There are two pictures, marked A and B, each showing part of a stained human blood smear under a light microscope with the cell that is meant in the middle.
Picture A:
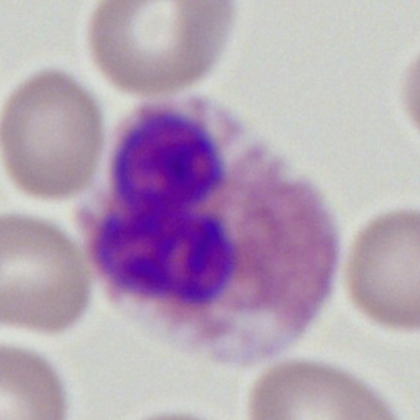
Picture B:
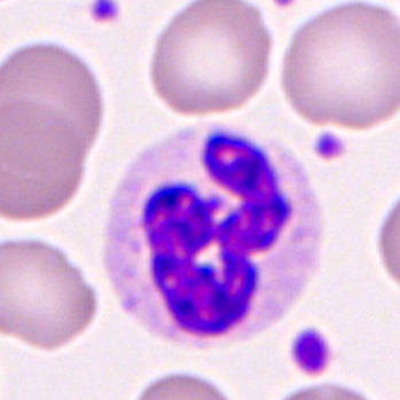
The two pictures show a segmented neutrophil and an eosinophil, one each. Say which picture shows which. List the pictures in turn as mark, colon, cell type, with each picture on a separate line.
A: eosinophil
B: segmented neutrophil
